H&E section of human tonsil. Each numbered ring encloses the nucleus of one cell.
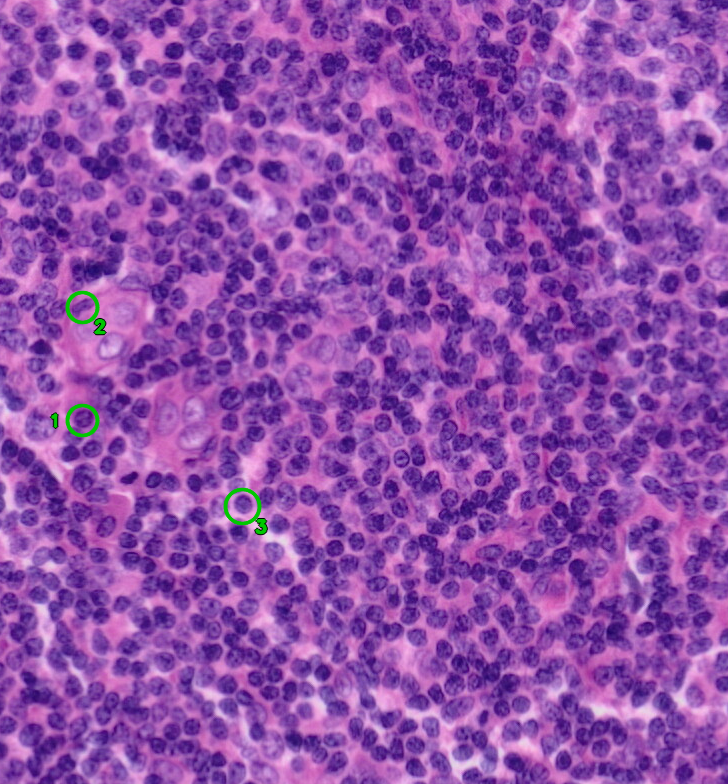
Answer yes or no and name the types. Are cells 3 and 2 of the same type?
No, as for cell 3, it is a small lymphocyte, and cell 2 is an endothelial cell.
